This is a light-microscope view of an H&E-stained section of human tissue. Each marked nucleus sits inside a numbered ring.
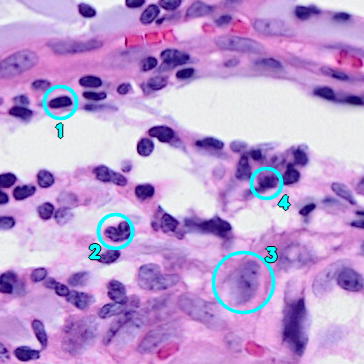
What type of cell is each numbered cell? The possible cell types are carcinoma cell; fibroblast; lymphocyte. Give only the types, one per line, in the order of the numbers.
lymphocyte
lymphocyte
carcinoma cell
lymphocyte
